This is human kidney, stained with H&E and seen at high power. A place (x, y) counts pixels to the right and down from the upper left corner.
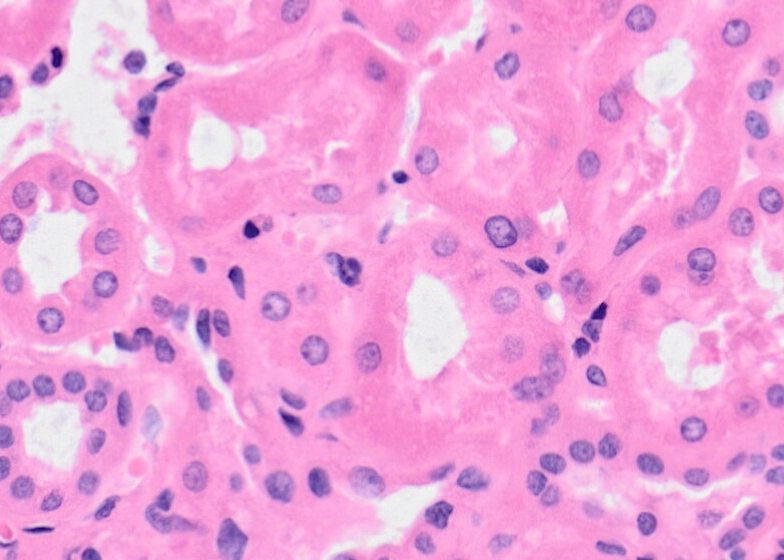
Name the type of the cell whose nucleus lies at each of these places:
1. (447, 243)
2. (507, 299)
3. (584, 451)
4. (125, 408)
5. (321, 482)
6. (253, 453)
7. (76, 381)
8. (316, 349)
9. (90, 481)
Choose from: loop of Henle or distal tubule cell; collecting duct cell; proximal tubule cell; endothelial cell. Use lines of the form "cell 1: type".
cell 1: proximal tubule cell
cell 2: proximal tubule cell
cell 3: collecting duct cell
cell 4: collecting duct cell
cell 5: loop of Henle or distal tubule cell
cell 6: loop of Henle or distal tubule cell
cell 7: collecting duct cell
cell 8: proximal tubule cell
cell 9: collecting duct cell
